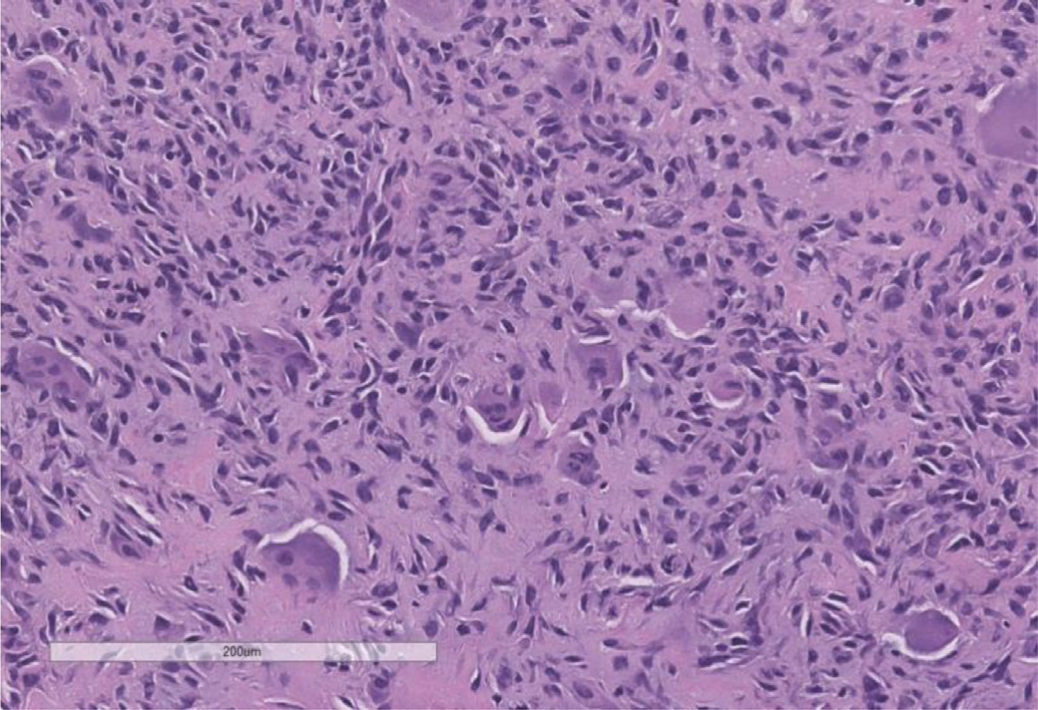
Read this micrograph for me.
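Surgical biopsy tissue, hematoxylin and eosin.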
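This section shows a densely cellular tissue made of sheets of mononuclear cells with scattered osteoclast-like giant cells among them. The mononuclear cells have dark purple nuclei that are ovoid or elongated, many of them bent or twisted, set in pale pink cytoplasm and a pink fibrillary background. The cells lie closely packed without forming glands or distinct layers, in places running in short interlacing streams.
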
